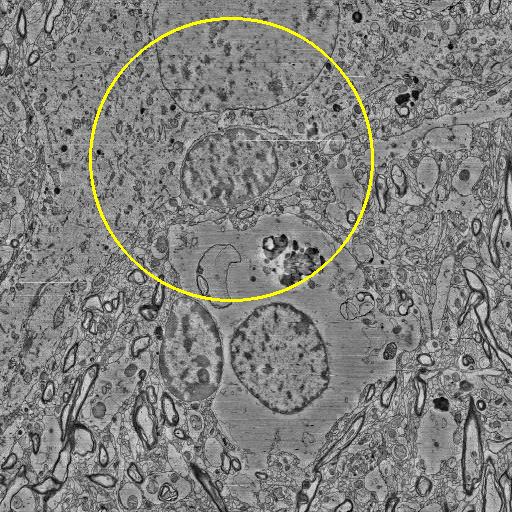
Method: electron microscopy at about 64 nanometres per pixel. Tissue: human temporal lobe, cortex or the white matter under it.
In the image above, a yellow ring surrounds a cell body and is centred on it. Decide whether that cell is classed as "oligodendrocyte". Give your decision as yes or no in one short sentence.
Yes, it is classed as that kind.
